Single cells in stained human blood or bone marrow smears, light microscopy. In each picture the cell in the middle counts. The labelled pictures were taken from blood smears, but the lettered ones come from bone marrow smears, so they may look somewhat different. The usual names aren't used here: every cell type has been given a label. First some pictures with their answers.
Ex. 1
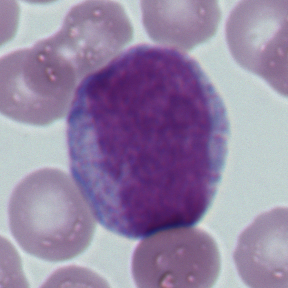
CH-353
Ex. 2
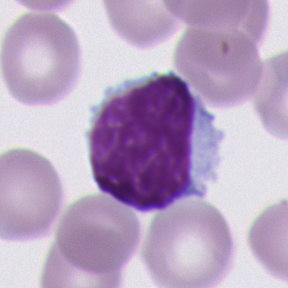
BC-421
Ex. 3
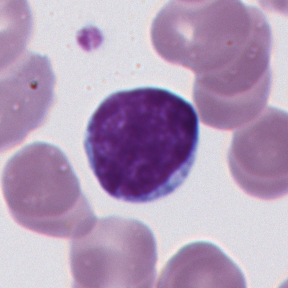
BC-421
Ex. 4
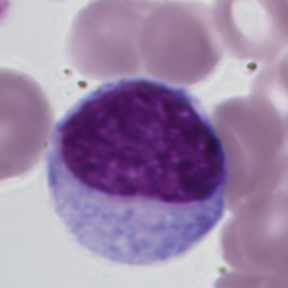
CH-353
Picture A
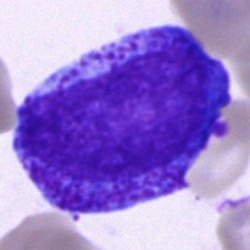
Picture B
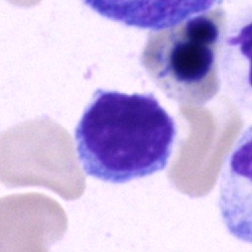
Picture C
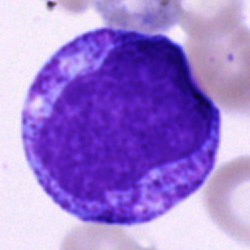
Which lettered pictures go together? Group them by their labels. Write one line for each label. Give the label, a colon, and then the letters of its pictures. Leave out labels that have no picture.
CH-353: A, C
BC-421: B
